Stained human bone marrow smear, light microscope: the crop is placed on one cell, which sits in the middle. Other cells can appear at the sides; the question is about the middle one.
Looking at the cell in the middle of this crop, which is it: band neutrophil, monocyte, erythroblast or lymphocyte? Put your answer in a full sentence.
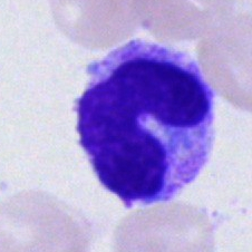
Regarding the central cell, it is a band neutrophil.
